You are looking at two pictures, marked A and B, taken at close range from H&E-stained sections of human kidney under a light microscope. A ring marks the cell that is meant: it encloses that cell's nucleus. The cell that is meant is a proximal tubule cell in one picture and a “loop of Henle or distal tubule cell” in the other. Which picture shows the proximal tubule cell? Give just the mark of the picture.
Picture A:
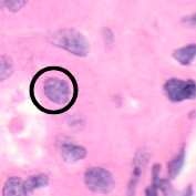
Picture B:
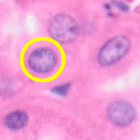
B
